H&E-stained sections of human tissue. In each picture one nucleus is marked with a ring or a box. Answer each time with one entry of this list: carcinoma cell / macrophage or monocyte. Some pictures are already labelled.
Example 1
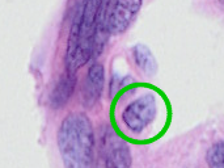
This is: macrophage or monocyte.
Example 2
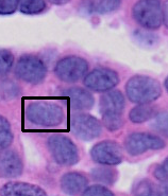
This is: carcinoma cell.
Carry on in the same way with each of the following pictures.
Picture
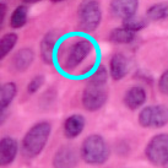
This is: carcinoma cell.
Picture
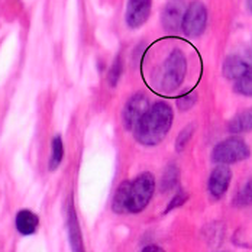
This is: carcinoma cell.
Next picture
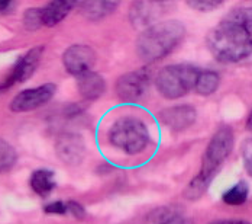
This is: macrophage or monocyte.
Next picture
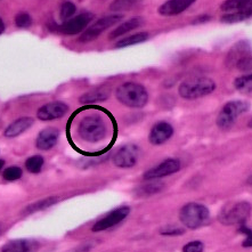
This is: macrophage or monocyte.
